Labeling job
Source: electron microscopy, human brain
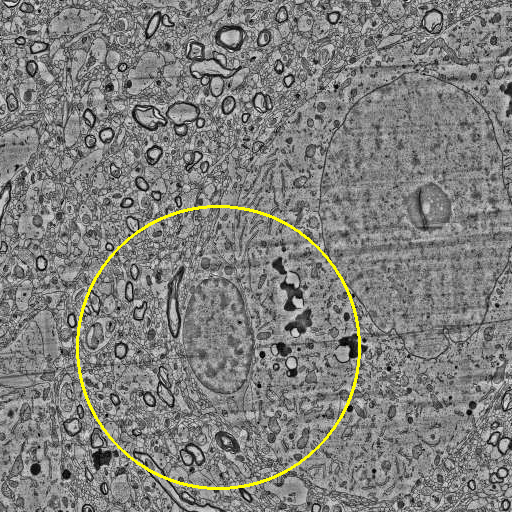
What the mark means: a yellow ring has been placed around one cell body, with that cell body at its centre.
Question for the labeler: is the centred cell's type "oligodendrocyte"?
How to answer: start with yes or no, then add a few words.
Yes, that is its type.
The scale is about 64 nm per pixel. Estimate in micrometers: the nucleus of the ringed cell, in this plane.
Roughly 7 micrometres by 5 micrometres, in this plane.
